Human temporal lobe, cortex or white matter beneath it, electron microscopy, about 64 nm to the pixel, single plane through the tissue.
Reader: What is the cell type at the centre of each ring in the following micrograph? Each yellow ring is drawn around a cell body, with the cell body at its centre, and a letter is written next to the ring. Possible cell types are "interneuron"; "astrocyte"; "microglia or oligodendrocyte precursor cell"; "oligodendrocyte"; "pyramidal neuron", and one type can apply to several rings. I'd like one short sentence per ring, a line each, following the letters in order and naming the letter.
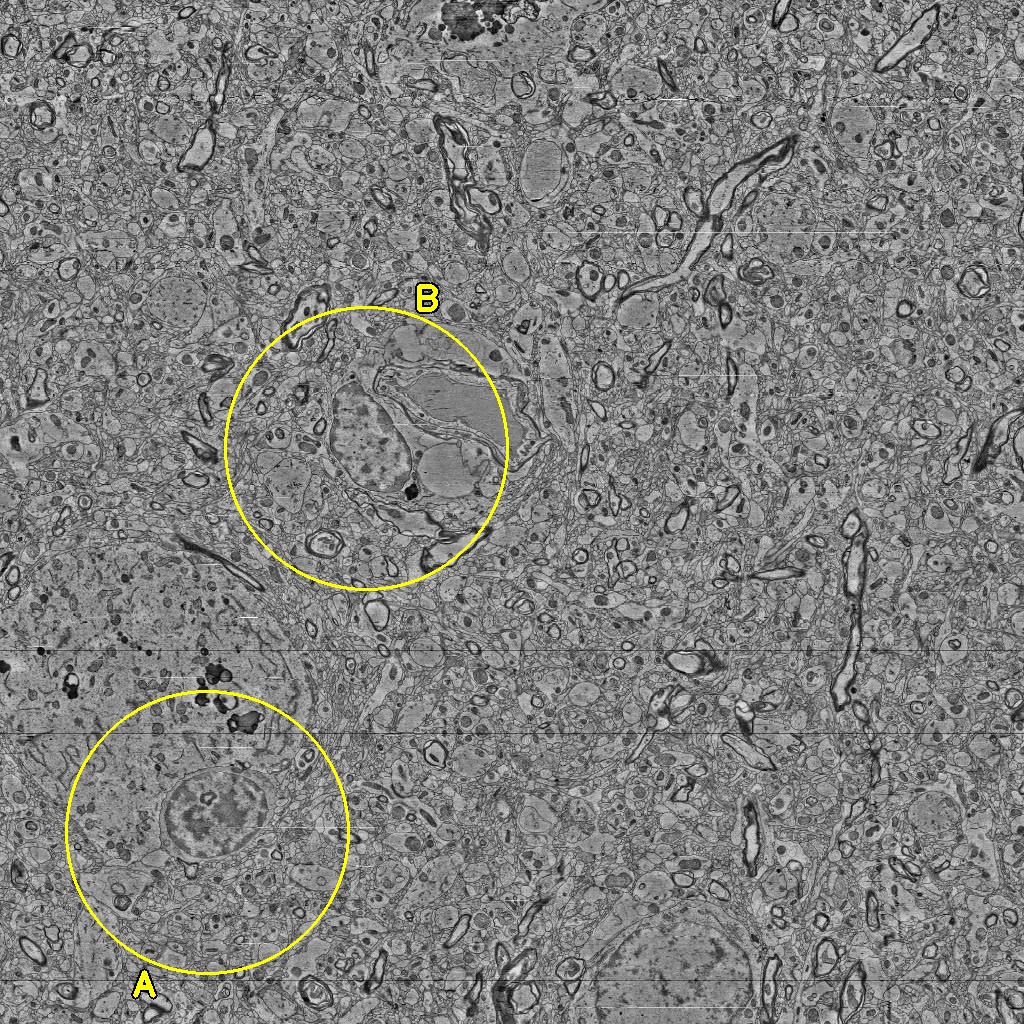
The cell body at the centre of ring A is that of an oligodendrocyte.
The cell body at the centre of ring B is that of a microglial cell or oligodendrocyte precursor cell.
